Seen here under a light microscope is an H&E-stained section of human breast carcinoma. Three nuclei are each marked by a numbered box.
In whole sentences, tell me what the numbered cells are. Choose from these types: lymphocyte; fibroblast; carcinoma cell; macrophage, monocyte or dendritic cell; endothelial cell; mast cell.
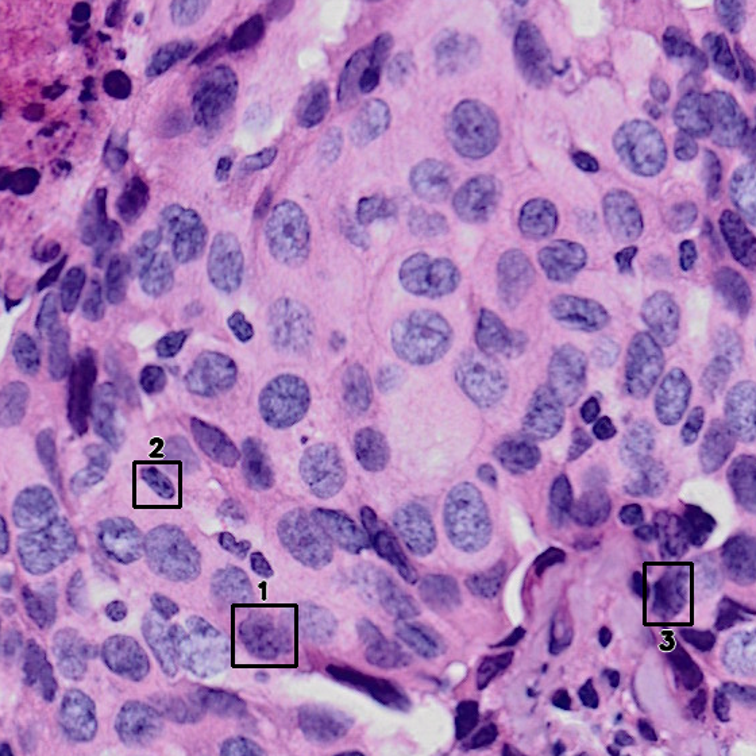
Cell 1 is a carcinoma cell, cell 2 is a lymphocyte and cell 3 is a carcinoma cell.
